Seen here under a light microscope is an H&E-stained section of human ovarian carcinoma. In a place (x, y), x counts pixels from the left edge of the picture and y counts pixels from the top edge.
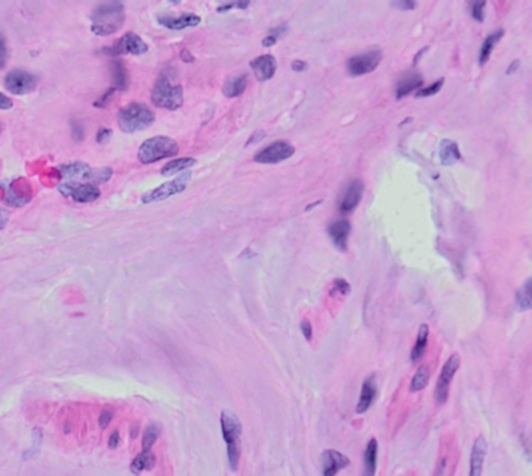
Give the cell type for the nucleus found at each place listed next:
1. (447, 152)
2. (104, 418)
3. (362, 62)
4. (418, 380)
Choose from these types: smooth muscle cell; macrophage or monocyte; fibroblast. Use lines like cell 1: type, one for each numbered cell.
cell 1: fibroblast
cell 2: smooth muscle cell
cell 3: fibroblast
cell 4: smooth muscle cell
